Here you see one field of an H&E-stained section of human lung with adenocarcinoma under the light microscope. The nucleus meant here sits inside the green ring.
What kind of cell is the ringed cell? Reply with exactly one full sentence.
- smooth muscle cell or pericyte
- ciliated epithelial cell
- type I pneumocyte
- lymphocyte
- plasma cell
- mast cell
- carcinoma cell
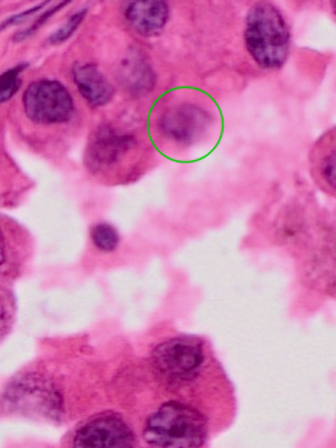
In terms of identity, the ringed cell is a carcinoma cell.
